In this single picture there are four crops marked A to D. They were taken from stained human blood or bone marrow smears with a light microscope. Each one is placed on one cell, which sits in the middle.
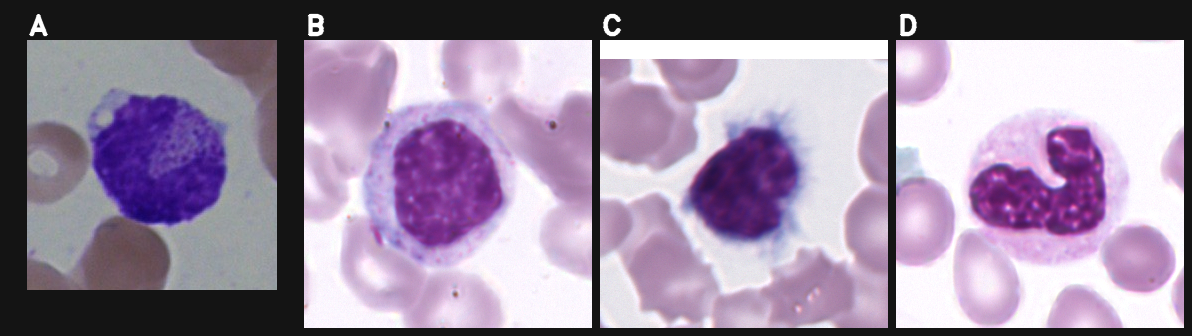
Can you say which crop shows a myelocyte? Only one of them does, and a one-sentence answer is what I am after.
Crop B alone, of all the crops, shows a myelocyte.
